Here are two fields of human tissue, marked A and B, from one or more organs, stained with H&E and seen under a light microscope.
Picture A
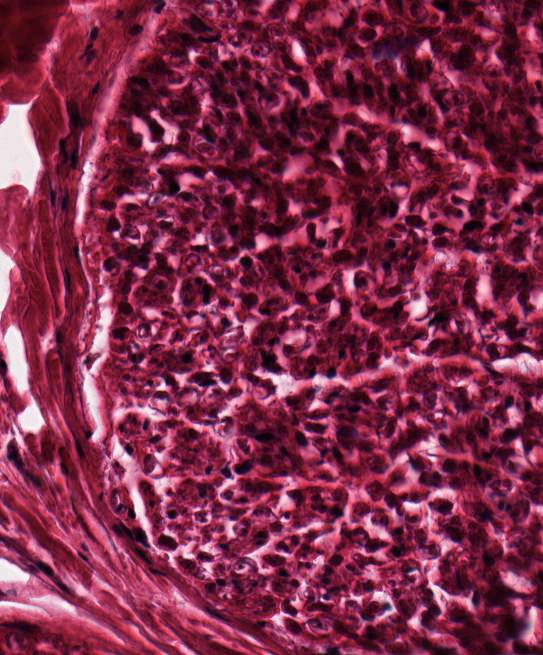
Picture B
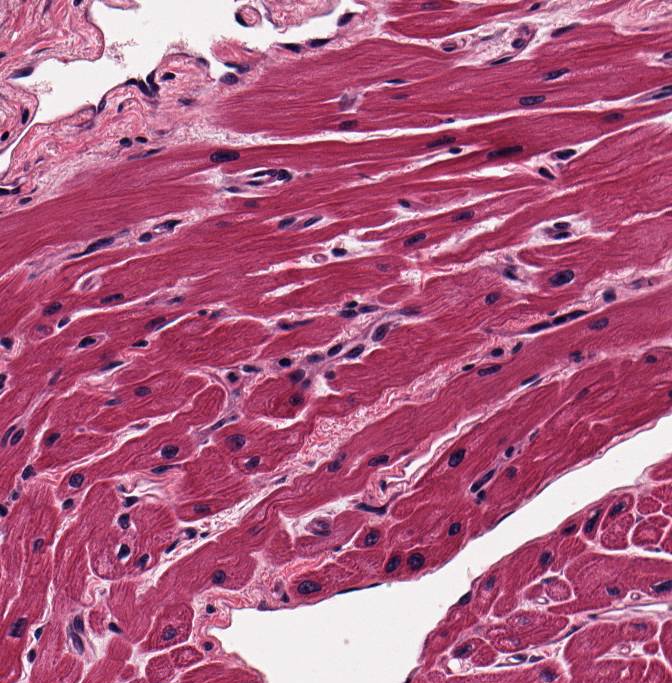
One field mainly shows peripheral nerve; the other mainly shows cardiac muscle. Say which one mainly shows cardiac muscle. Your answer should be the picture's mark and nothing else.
B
